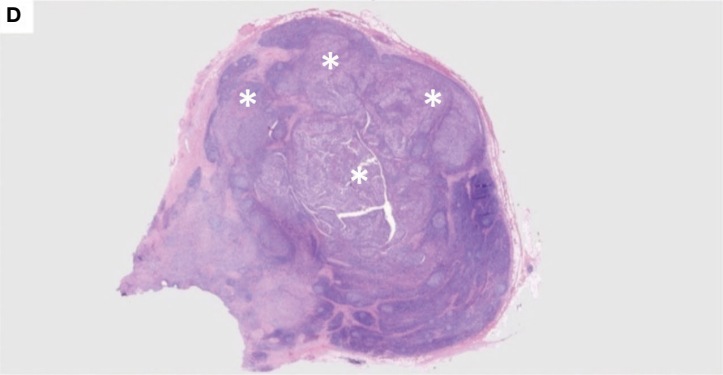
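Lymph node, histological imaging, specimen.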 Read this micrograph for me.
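A whole section of a rounded organ is seen at low power, wrapped in a thin pink rim and filled by several large rounded purple nodules separated by thin pink bands. The central nodule is paler, loose and cracked.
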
